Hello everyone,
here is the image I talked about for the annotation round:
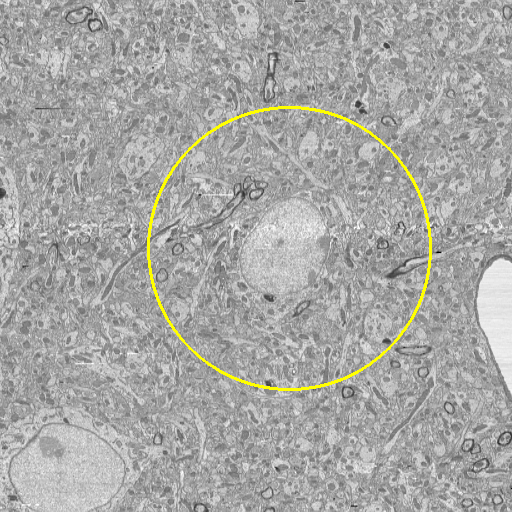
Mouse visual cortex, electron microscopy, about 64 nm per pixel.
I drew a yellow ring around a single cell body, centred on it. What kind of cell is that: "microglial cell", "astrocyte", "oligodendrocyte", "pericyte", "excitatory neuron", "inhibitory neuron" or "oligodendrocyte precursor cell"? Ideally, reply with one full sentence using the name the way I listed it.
The cell your yellow ring is centred on is an astrocyte, going by your list.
